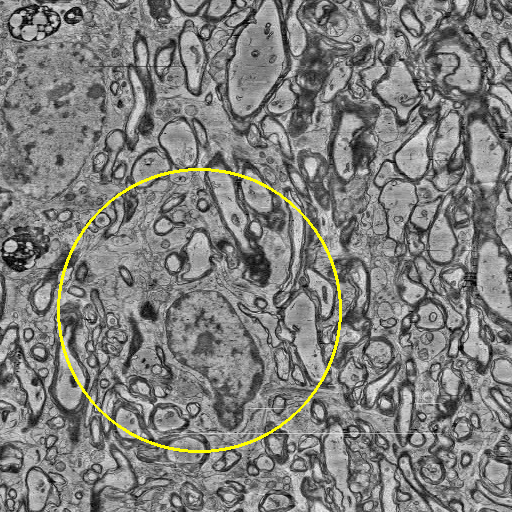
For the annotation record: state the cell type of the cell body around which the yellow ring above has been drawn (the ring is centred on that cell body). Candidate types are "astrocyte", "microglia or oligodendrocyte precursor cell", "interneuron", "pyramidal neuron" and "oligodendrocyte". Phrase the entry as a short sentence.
The ringed cell is a microglial cell or oligodendrocyte precursor cell.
